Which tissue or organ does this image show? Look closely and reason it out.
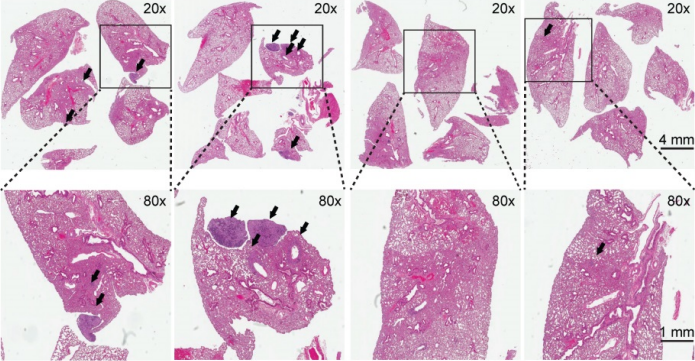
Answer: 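Sections of several lobes with a fine lace-like pink network of thin-walled air spaces. Scattered open tubular airways and vessels within the parenchyma.
Hence: lungs.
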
